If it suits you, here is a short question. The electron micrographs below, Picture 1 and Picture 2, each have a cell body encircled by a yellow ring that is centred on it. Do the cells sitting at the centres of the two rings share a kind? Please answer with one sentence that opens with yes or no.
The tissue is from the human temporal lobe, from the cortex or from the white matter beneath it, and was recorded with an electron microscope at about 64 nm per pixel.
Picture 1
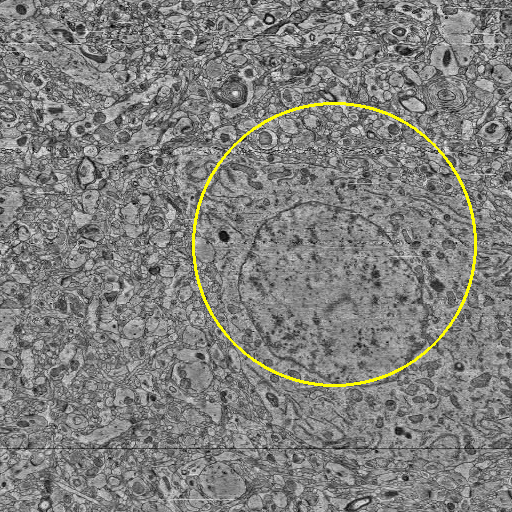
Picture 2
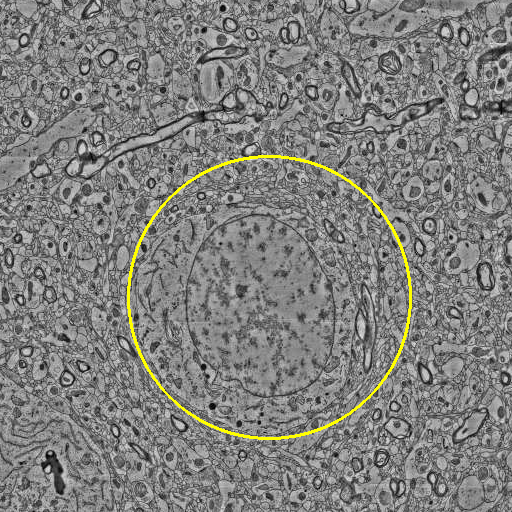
No, the two cells sitting at the ring centres fall into two kinds.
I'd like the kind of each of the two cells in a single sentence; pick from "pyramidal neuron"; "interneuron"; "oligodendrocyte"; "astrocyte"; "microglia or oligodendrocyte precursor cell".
The first ring marks an interneuron, and the second ring marks a pyramidal neuron.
